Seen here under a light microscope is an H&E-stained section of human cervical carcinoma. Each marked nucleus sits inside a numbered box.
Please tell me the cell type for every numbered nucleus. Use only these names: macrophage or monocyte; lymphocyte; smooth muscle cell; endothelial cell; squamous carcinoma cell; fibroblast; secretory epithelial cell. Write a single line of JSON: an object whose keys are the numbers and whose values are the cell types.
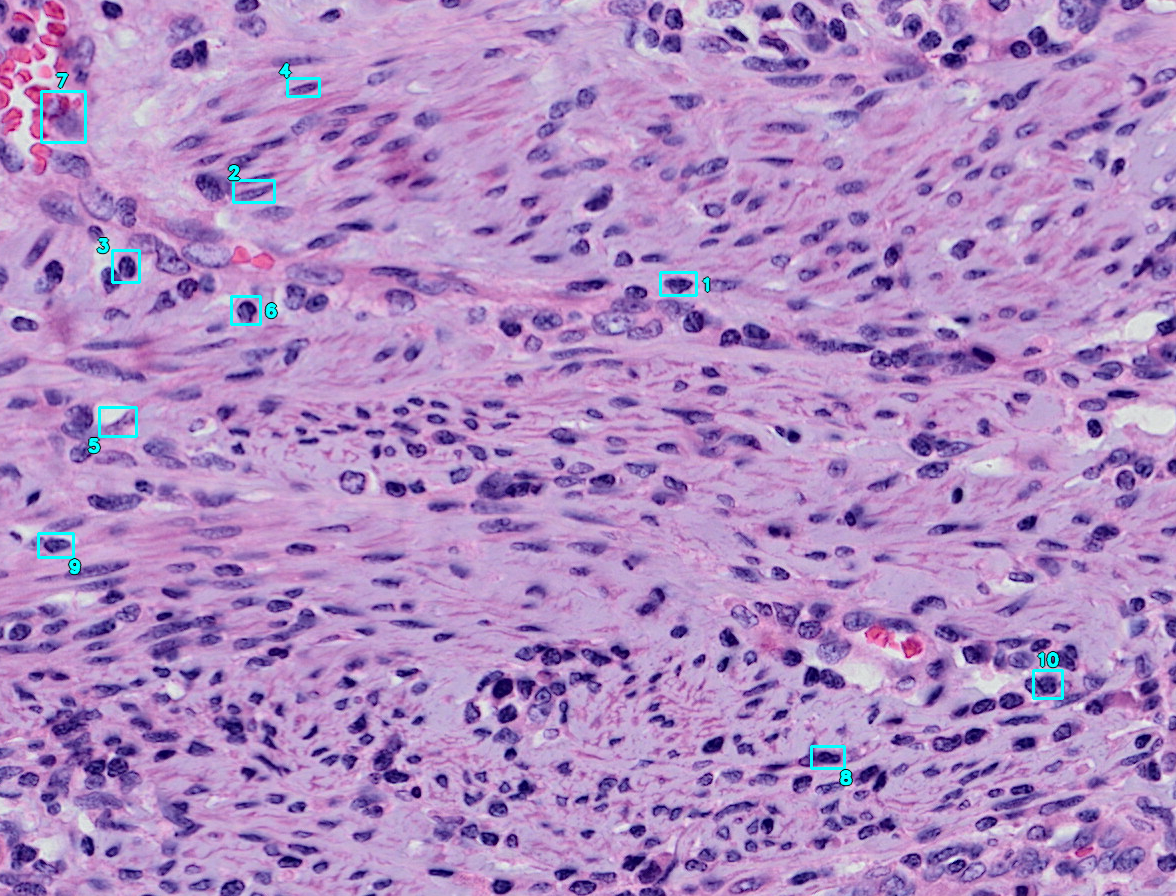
{"1": "lymphocyte", "2": "smooth muscle cell", "3": "lymphocyte", "4": "smooth muscle cell", "5": "endothelial cell", "6": "lymphocyte", "7": "endothelial cell", "8": "lymphocyte", "9": "lymphocyte", "10": "lymphocyte"}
